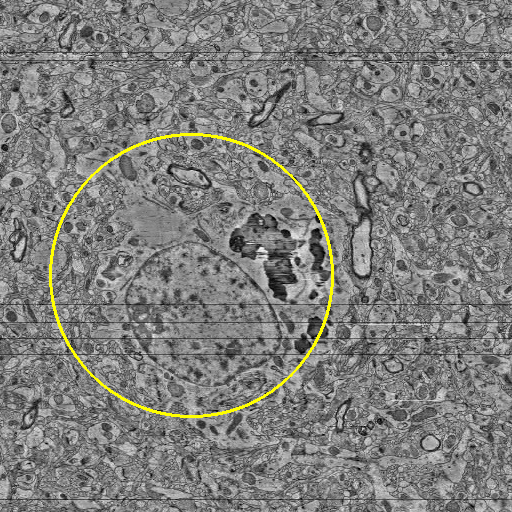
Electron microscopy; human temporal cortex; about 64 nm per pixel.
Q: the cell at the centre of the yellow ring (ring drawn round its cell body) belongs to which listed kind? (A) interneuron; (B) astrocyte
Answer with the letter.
B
